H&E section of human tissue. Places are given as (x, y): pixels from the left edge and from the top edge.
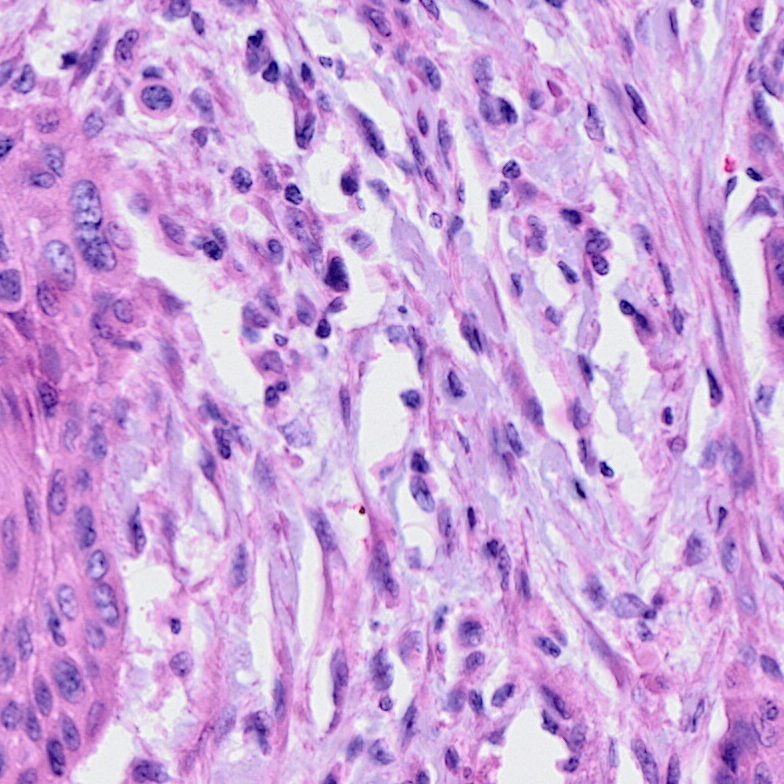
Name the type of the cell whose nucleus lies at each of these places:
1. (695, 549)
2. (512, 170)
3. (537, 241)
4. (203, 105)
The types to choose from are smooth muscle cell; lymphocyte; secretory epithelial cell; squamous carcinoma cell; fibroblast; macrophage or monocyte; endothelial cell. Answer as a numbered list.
1. fibroblast
2. lymphocyte
3. macrophage or monocyte
4. fibroblast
